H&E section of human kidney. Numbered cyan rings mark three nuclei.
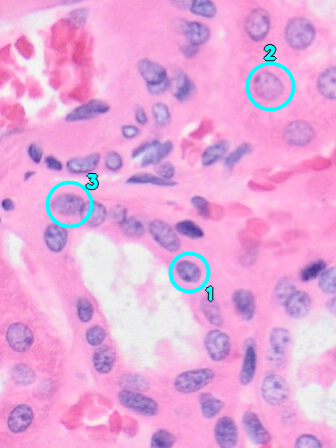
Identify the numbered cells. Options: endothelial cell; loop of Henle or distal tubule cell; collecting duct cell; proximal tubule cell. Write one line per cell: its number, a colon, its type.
1: collecting duct cell
2: proximal tubule cell
3: collecting duct cell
